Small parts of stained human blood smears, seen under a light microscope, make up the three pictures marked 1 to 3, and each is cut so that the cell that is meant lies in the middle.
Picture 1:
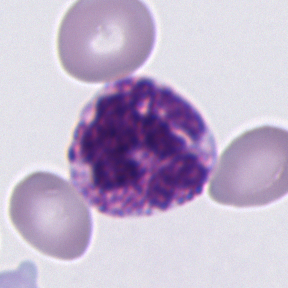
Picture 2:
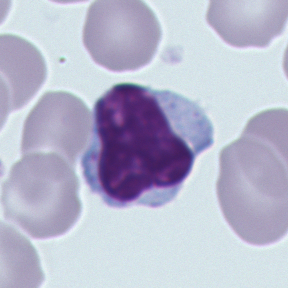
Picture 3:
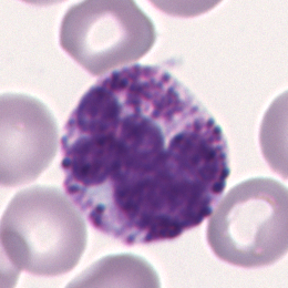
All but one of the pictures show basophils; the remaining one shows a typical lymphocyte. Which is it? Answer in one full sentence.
Picture 2 shows the typical lymphocyte.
